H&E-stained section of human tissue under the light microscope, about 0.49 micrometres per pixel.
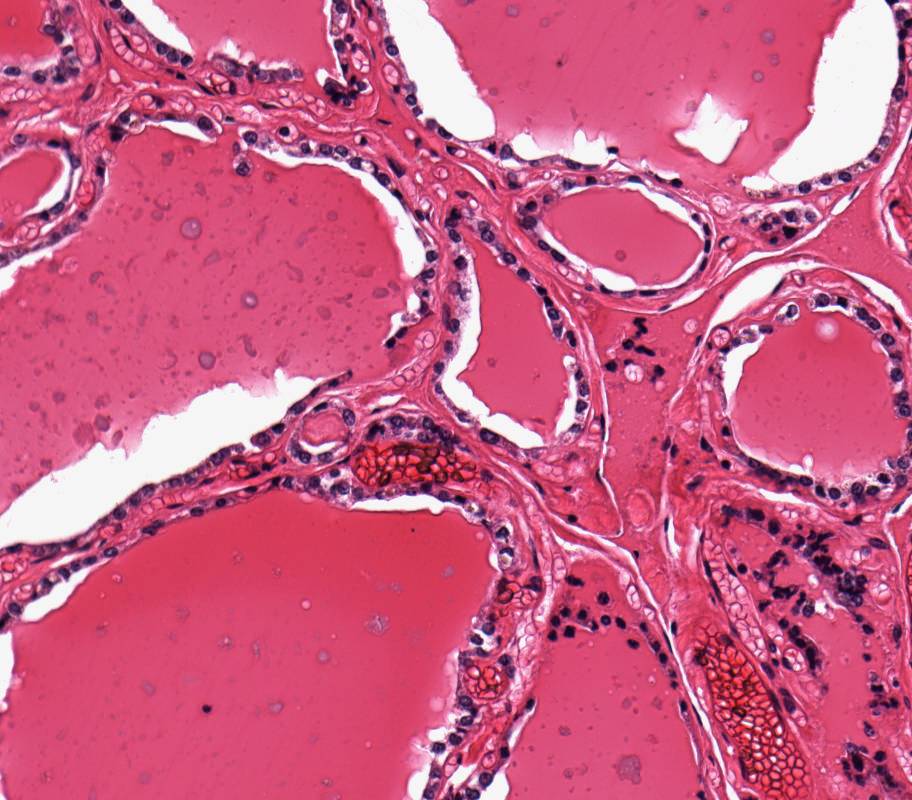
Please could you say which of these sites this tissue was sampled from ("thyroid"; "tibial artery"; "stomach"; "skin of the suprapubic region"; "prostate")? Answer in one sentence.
The site this tissue was sampled from is the thyroid.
